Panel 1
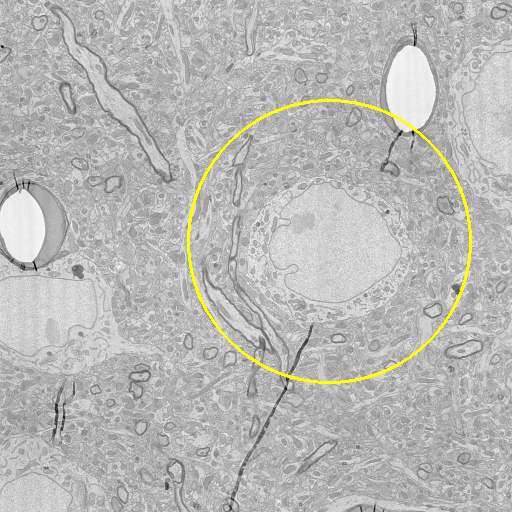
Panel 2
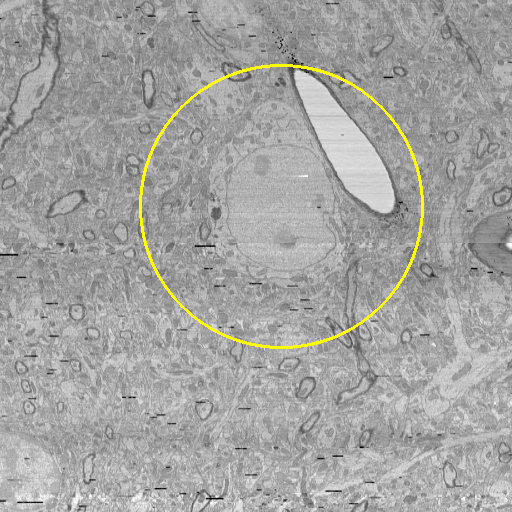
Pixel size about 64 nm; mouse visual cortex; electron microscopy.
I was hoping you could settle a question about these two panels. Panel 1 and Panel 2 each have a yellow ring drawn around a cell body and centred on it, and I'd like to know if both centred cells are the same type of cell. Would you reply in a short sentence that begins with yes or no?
No, they are two types of cell.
